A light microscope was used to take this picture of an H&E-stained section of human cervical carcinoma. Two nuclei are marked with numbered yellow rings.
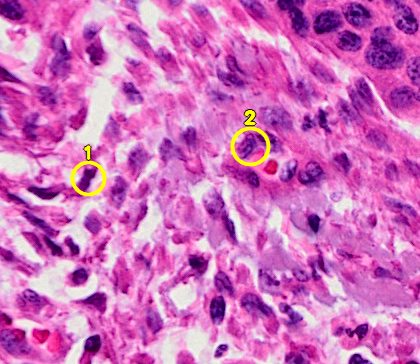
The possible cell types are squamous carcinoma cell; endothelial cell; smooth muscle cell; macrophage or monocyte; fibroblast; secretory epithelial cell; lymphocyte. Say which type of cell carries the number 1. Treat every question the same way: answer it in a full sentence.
As for number 1, that cell is a fibroblast.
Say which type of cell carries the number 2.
The one numbered 2 among the marked cells is an endothelial cell.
